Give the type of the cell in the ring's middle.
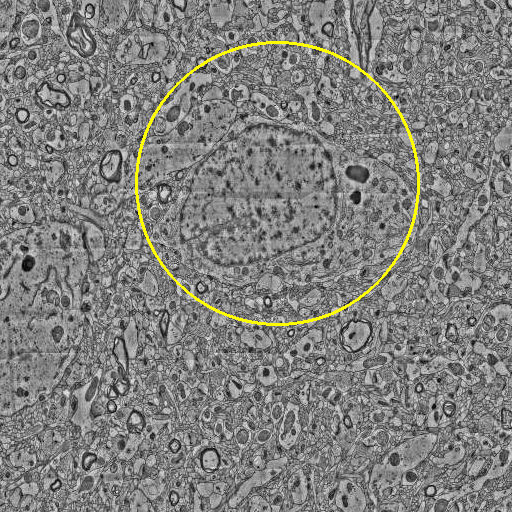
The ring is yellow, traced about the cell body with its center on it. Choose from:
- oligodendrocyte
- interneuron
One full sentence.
Here, an interneuron is the cell lying at the center of the yellow ring.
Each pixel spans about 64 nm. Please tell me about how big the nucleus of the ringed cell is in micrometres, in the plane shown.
Approximately 11 x 8 micrometres in this plane.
